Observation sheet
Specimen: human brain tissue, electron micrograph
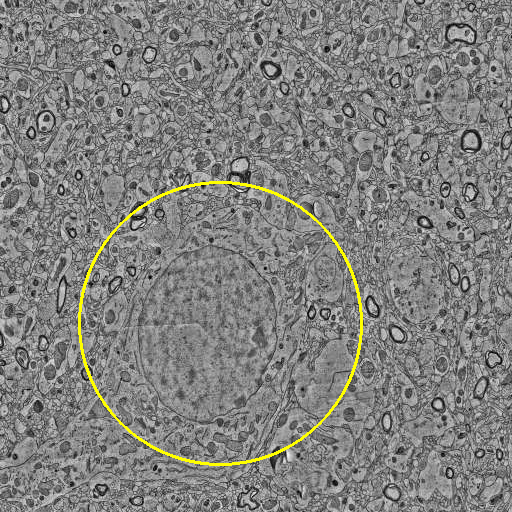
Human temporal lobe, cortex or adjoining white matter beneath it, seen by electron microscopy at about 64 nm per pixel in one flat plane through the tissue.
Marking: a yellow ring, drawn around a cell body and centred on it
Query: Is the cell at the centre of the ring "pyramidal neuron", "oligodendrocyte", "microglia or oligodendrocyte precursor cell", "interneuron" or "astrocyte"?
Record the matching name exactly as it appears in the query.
interneuron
